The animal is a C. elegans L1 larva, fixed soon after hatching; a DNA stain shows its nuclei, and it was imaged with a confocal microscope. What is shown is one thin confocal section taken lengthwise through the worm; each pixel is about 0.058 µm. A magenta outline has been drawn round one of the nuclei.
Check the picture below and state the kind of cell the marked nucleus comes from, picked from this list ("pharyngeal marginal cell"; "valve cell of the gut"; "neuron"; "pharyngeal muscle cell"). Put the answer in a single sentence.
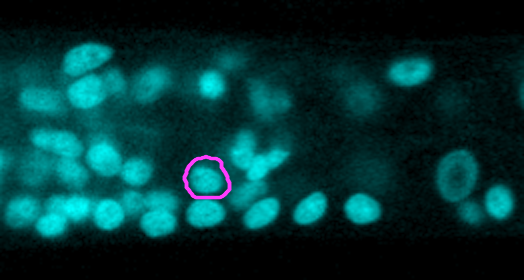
It belongs to a pharyngeal marginal cell.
